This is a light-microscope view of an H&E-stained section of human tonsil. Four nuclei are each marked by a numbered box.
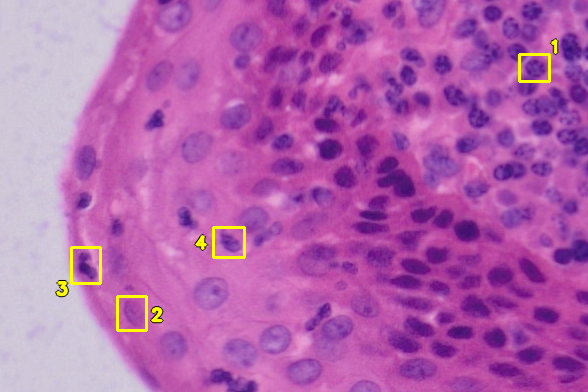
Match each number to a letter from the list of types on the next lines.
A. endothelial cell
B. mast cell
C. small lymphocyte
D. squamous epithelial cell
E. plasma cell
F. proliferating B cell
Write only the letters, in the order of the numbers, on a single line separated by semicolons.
E; D; D; D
